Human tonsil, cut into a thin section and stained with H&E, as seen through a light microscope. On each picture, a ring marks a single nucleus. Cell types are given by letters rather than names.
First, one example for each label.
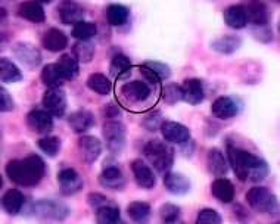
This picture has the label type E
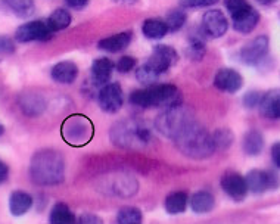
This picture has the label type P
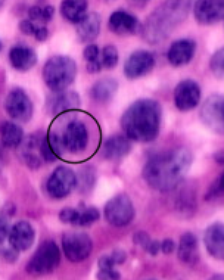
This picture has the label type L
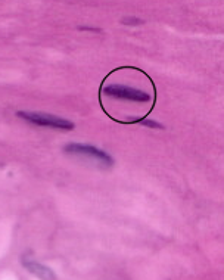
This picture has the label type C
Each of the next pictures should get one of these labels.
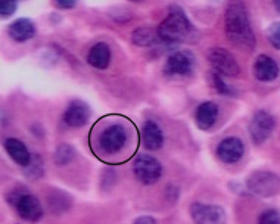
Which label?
type L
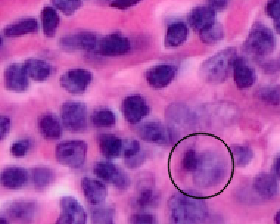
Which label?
type P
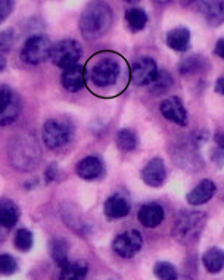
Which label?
type L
